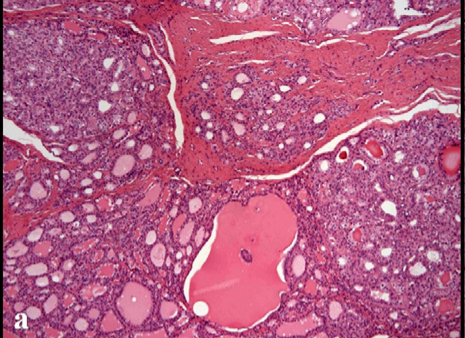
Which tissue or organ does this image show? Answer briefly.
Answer: thyroid gland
